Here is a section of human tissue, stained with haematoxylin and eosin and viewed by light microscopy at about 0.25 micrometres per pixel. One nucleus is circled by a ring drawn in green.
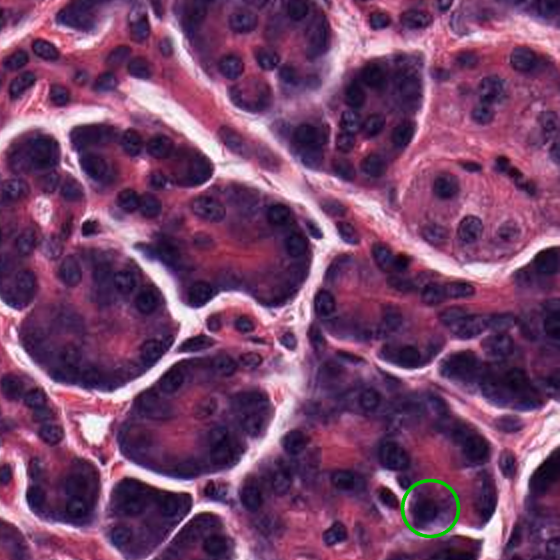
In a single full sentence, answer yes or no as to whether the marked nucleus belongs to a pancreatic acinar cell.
Yes, the nucleus that has been marked is that of a pancreatic acinar cell.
